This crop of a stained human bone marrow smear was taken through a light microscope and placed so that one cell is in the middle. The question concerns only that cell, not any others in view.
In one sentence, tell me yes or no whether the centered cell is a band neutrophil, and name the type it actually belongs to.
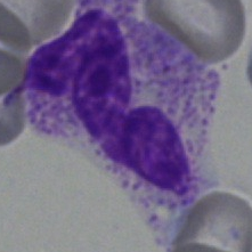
Yes, the cell under consideration, the one in the middle, is a band neutrophil.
